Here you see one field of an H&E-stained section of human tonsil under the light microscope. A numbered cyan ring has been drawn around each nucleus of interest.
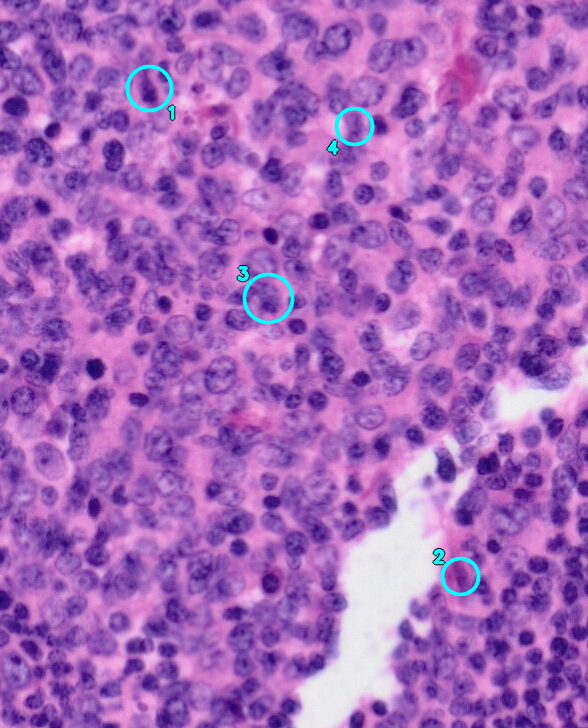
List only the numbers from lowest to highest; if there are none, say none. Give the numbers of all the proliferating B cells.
1, 3, 4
